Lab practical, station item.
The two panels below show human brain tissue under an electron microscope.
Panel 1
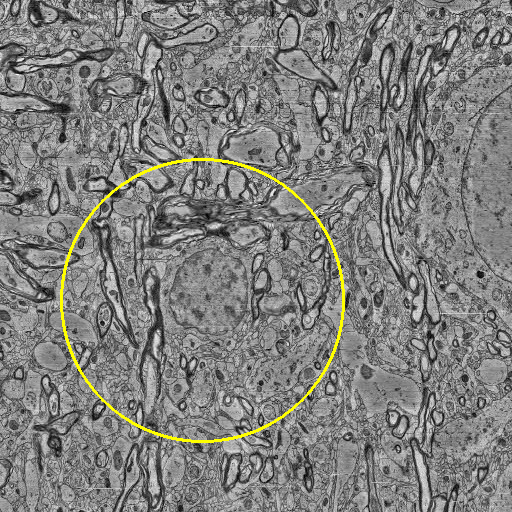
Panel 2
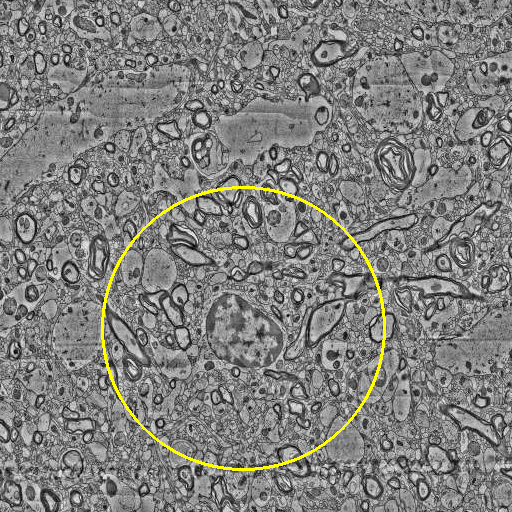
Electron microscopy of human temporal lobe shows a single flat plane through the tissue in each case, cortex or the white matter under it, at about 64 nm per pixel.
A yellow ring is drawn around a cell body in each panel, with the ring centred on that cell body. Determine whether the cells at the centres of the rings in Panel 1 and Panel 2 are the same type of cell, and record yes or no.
no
